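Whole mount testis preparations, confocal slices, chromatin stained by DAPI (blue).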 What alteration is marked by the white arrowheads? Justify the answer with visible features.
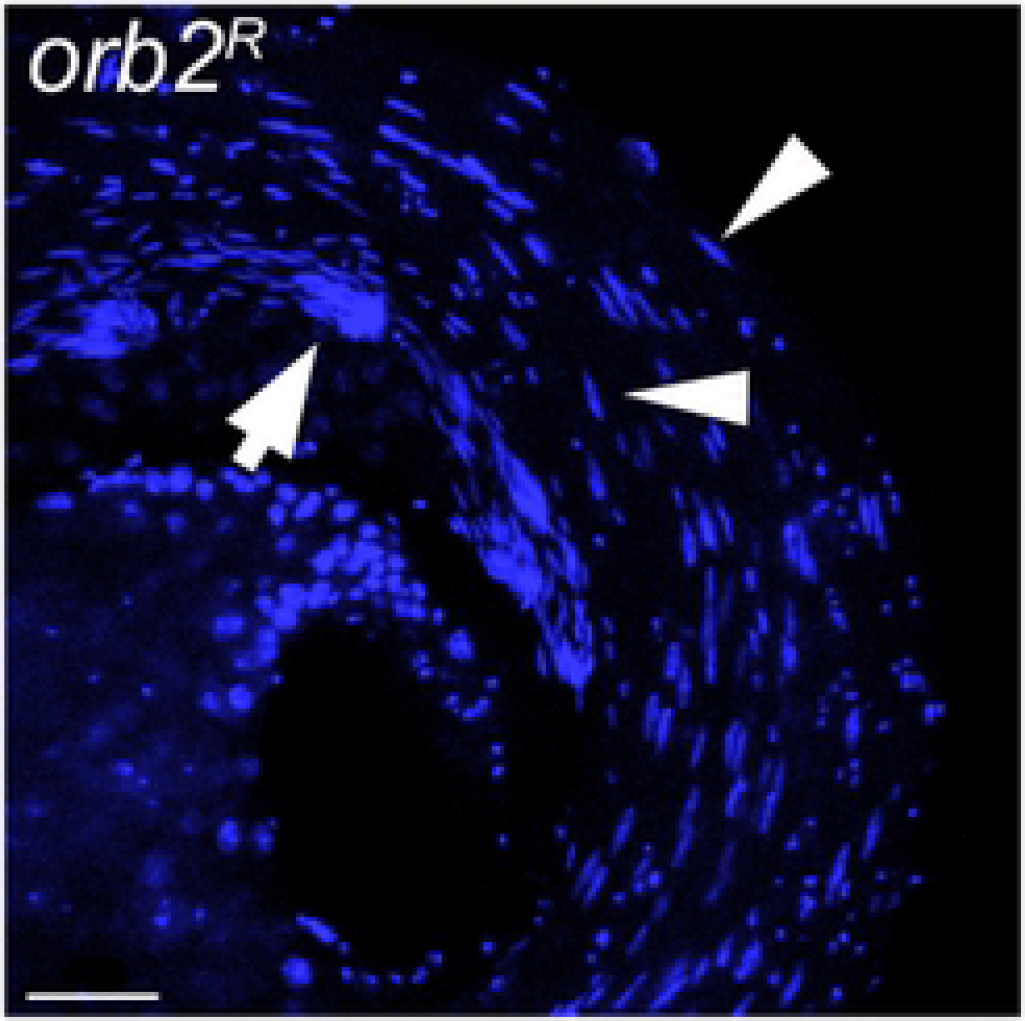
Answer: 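The arrowheads point to thin, elongated blue nuclei lying singly, not grouped into bundles. Such isolated nuclei are strewn widely along the tube. So: scattered nuclei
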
